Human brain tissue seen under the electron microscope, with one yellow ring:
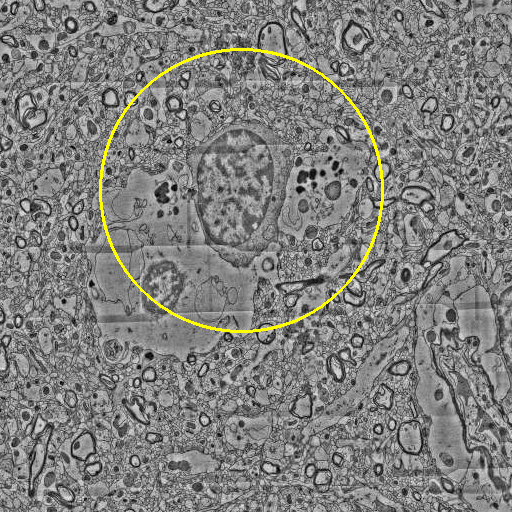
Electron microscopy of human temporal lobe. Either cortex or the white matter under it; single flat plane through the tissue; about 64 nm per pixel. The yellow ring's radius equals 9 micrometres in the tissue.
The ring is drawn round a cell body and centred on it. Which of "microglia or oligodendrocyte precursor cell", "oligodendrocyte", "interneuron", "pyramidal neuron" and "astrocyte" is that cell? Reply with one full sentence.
The picture shows an oligodendrocyte at the very centre of the yellow ring.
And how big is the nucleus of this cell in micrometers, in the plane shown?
In this plane, the nucleus of the cell at the centre of the ring measures about 7 by 5 micrometres.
